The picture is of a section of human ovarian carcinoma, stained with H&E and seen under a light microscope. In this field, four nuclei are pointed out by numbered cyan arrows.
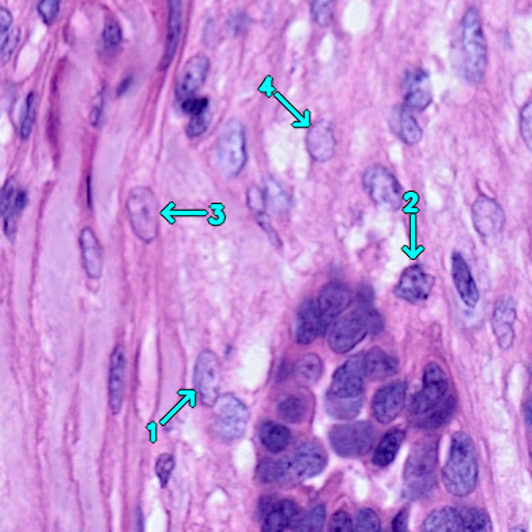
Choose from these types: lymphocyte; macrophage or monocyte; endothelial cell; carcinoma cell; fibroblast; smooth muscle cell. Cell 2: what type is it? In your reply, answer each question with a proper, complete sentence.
The label 2 in this section denotes a macrophage or monocyte.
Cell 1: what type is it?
The cell identified by the number 1 is a fibroblast.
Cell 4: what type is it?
Cell 4, among those numbered, is a fibroblast.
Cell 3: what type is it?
In the tissue shown, cell 3 is a fibroblast.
